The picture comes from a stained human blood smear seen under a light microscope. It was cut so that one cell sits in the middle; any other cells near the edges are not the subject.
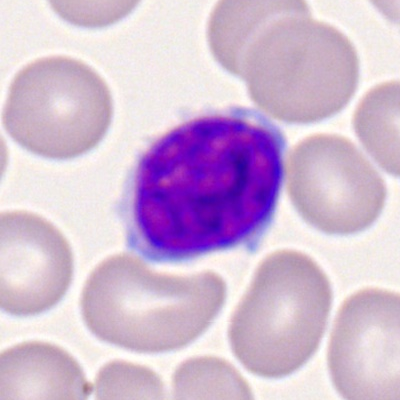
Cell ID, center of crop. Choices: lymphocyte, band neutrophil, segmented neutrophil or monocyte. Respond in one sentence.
The cell found in the middle of this crop is a lymphocyte.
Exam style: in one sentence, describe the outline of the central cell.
It is the contour of the cell that is irregular, being ragged or projecting outward.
